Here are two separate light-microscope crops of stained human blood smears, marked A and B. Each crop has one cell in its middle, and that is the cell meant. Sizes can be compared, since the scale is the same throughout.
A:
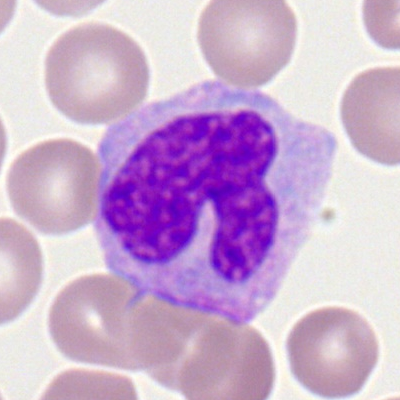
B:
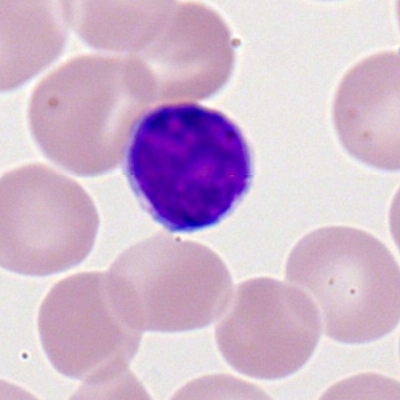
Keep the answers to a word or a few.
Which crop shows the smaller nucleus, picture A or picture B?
B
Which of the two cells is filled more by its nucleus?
B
